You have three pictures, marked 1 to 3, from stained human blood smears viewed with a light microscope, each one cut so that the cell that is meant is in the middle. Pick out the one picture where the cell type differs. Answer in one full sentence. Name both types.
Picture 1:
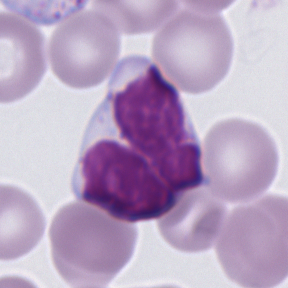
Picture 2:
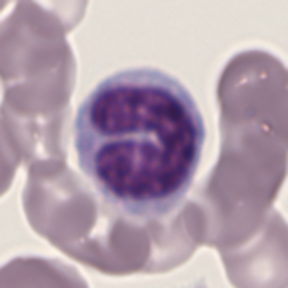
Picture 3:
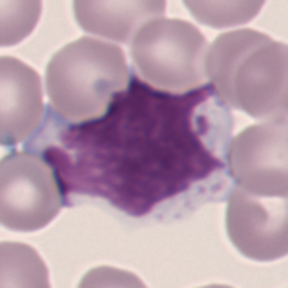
Unlike the rest, which show large granular lymphocytes, picture 2 shows a monocyte.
